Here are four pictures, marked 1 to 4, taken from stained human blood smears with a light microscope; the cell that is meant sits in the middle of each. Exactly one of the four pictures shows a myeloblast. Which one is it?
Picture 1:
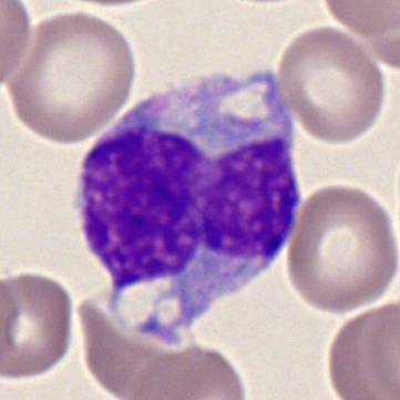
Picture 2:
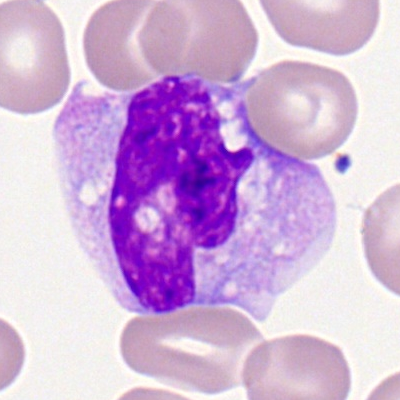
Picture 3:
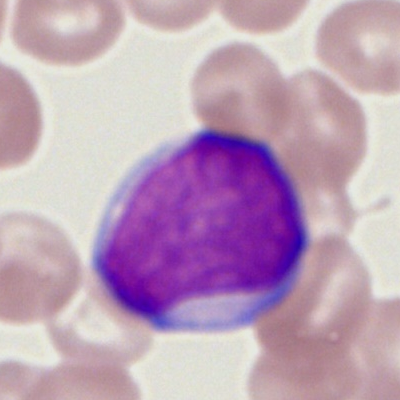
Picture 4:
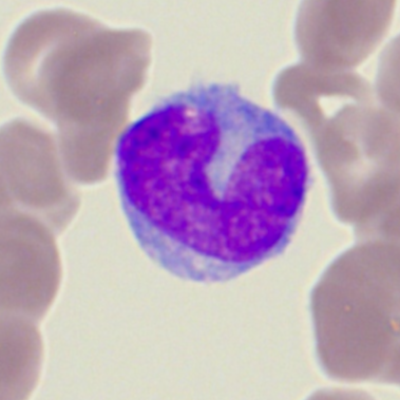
3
